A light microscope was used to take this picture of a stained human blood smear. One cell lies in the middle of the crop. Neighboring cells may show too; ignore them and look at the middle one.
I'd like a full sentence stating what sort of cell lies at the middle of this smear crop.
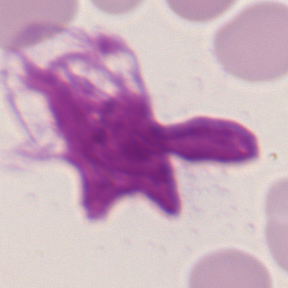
The identification for the central cell is a smudge cell.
